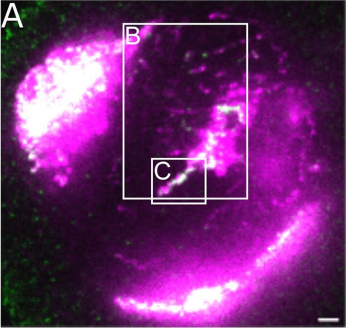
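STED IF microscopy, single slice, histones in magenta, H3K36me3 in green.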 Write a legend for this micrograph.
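A large dense bright mass lies at the upper left, and a curved bright band runs along the lower rim. In the centre an irregular bright mass sends out a narrow extension toward the lower left. Between these, many thin short threads and dots of magenta are scattered through the darker nucleoplasm. Green appears mainly where the dense masses are, so these regions look whitish, while most fine threads are magenta alone with only sparse green dots.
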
